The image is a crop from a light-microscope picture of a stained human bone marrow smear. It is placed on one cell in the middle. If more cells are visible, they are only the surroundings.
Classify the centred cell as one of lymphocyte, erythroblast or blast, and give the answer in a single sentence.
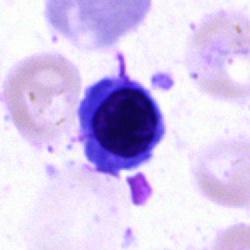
In this smear crop, the middle cell is an erythroblast.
